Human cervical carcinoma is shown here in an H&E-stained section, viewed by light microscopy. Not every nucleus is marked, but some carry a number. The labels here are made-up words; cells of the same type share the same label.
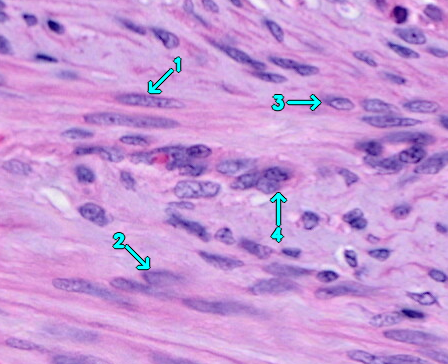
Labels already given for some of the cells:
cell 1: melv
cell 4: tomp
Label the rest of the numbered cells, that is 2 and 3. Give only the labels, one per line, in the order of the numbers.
melv
melv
